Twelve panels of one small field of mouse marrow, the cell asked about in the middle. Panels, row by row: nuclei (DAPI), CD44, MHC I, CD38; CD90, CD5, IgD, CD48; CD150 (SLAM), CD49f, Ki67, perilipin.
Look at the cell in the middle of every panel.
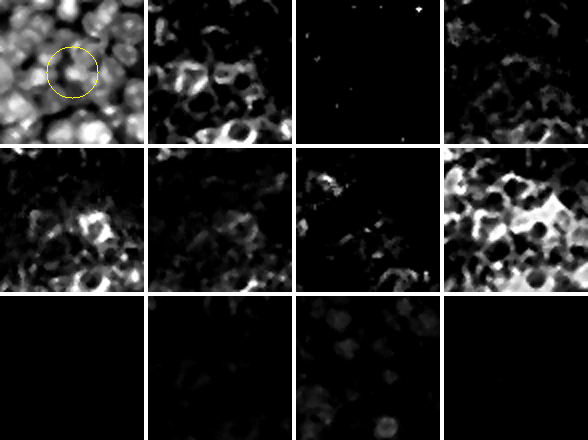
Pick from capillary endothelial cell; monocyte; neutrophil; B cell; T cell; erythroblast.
B cell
